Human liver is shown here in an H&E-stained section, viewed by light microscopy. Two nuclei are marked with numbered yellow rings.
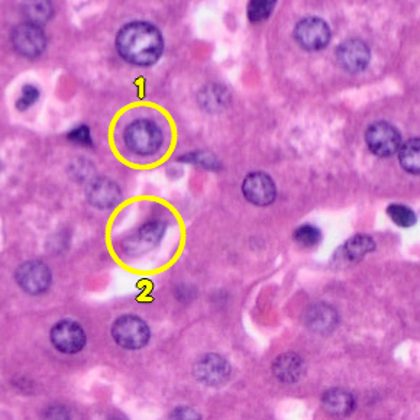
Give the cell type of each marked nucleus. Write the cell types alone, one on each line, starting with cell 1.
hepatocyte
Kupffer cell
